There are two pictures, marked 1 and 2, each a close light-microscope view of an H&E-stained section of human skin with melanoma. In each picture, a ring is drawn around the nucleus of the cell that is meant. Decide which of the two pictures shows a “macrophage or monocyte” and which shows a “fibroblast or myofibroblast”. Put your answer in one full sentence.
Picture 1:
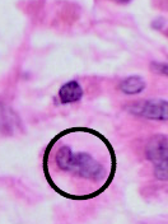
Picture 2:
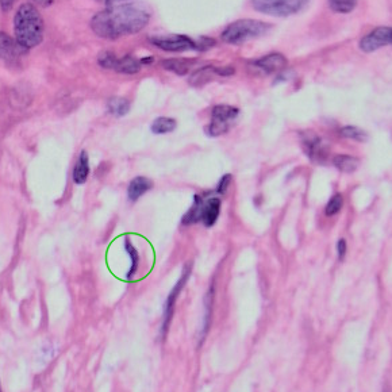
The cell in picture 1 is a “macrophage or monocyte”, and the one in picture 2 is a “fibroblast or myofibroblast”.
